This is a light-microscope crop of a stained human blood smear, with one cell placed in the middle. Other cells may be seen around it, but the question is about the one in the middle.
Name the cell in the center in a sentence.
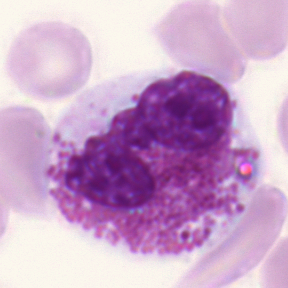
The cell at the heart of this crop is an eosinophil.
